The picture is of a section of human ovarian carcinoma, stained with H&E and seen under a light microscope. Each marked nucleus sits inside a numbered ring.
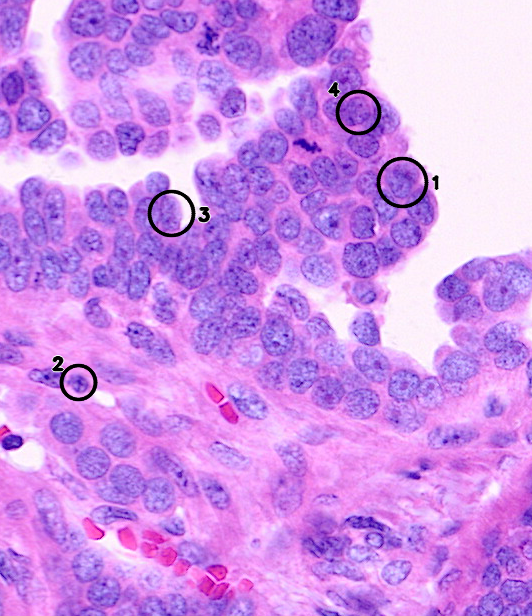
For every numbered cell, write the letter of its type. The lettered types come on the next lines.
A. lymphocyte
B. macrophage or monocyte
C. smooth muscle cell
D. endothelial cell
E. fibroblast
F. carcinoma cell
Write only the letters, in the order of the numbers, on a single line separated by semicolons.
F; A; F; F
